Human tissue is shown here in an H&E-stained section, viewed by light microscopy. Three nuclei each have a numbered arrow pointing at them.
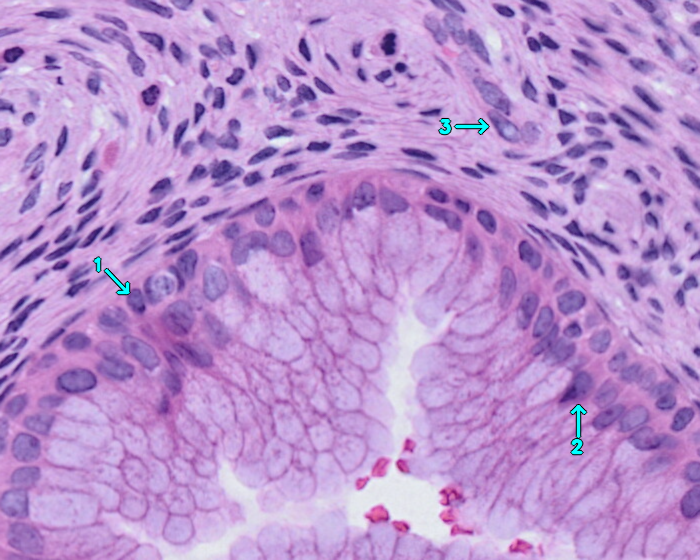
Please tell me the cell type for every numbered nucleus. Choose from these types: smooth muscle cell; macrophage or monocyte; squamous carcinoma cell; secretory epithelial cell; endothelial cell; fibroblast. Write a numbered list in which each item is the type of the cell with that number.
1. secretory epithelial cell
2. secretory epithelial cell
3. endothelial cell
